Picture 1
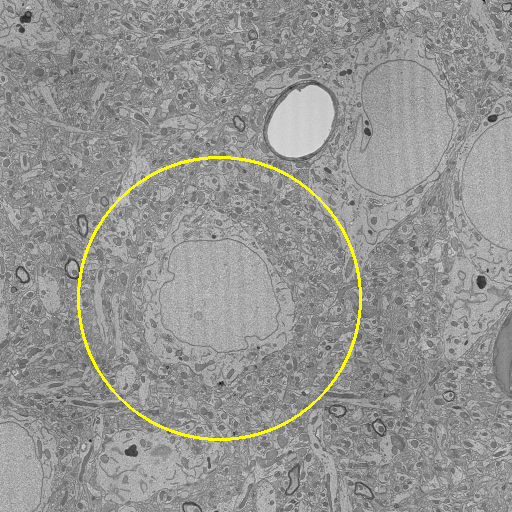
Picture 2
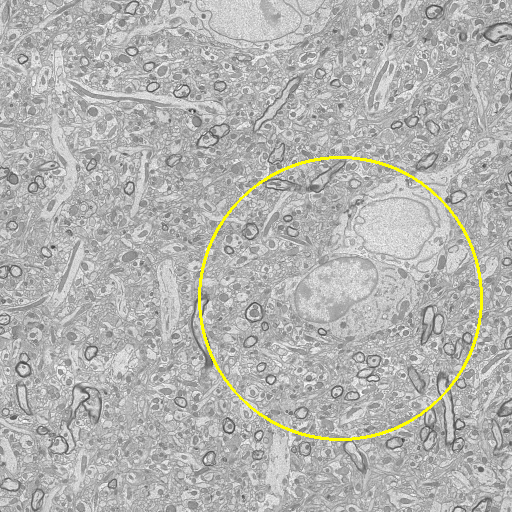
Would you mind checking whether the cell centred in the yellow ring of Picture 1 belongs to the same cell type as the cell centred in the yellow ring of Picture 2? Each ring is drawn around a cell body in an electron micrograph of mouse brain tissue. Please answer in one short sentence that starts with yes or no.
No, the two cells are of two types.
